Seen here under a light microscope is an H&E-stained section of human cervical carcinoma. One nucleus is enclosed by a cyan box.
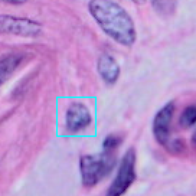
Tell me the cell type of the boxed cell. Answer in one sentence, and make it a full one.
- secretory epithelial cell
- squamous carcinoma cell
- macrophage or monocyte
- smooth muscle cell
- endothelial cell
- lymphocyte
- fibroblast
Just put down that the boxed cell is a smooth muscle cell.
